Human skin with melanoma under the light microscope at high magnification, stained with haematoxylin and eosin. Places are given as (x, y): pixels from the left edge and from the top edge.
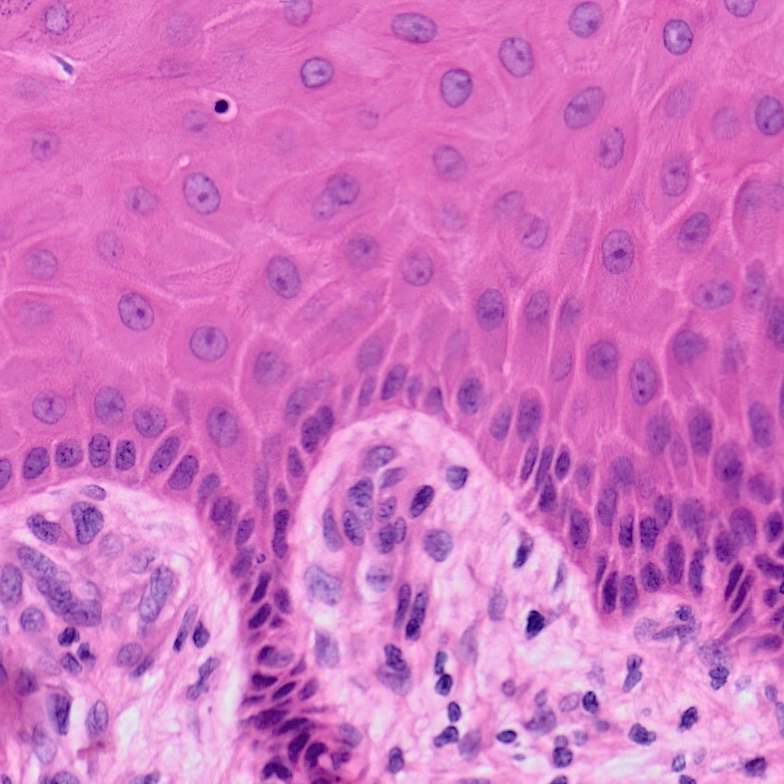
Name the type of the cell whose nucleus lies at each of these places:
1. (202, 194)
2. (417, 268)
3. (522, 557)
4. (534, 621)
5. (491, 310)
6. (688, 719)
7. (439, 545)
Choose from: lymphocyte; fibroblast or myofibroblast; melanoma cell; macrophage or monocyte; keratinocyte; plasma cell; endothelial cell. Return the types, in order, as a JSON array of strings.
["keratinocyte", "keratinocyte", "fibroblast or myofibroblast", "lymphocyte", "keratinocyte", "lymphocyte", "fibroblast or myofibroblast"]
